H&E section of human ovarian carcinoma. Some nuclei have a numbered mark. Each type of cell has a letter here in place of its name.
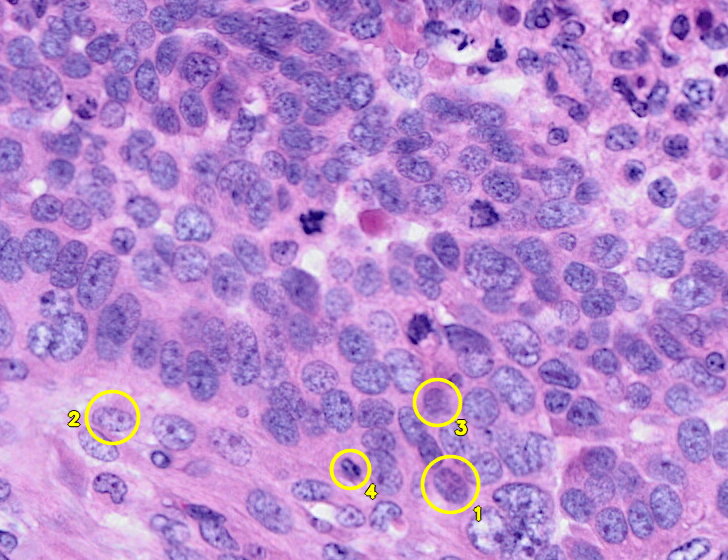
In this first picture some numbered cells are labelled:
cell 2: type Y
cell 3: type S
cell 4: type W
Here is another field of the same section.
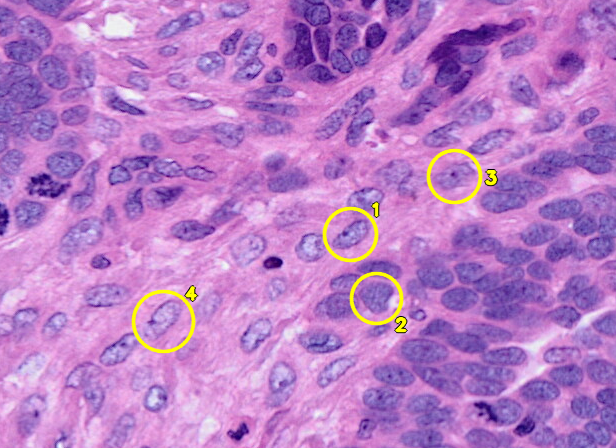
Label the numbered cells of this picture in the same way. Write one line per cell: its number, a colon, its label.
1: type Y
2: type S
3: type Y
4: type Y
